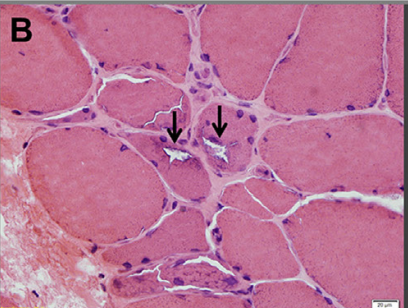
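Cross-sectioned skeletal muscle fibers of varying size stain pink, with flattened dark nuclei at their edges and widened connective tissue between some fibers. Some small, angular fibers lie among the larger rounded ones.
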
